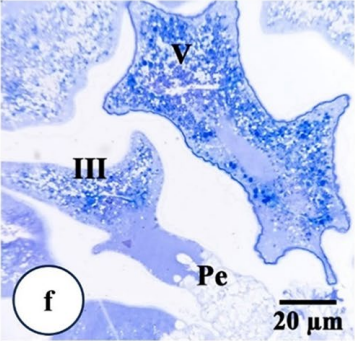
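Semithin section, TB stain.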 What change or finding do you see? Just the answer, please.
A: Wrinkled boundaries.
